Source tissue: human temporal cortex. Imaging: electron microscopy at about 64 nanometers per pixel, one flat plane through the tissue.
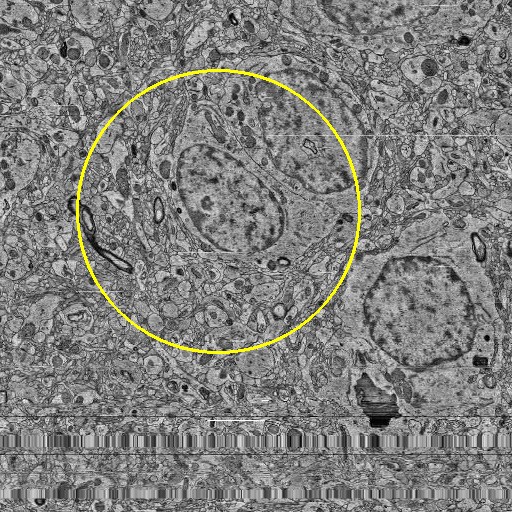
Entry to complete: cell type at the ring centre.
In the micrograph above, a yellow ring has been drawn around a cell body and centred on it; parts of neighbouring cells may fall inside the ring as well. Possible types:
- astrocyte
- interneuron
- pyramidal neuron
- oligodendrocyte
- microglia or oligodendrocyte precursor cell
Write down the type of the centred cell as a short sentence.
The ring is centred on a microglial cell or oligodendrocyte precursor cell.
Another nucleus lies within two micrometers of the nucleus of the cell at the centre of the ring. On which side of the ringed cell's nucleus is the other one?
The other nucleus is positioned to the upper right of it.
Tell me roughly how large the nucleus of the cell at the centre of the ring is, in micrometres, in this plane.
Roughly 8 micrometres long and 5 micrometres wide; in this plane the nucleus is clearly longer than it is wide.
